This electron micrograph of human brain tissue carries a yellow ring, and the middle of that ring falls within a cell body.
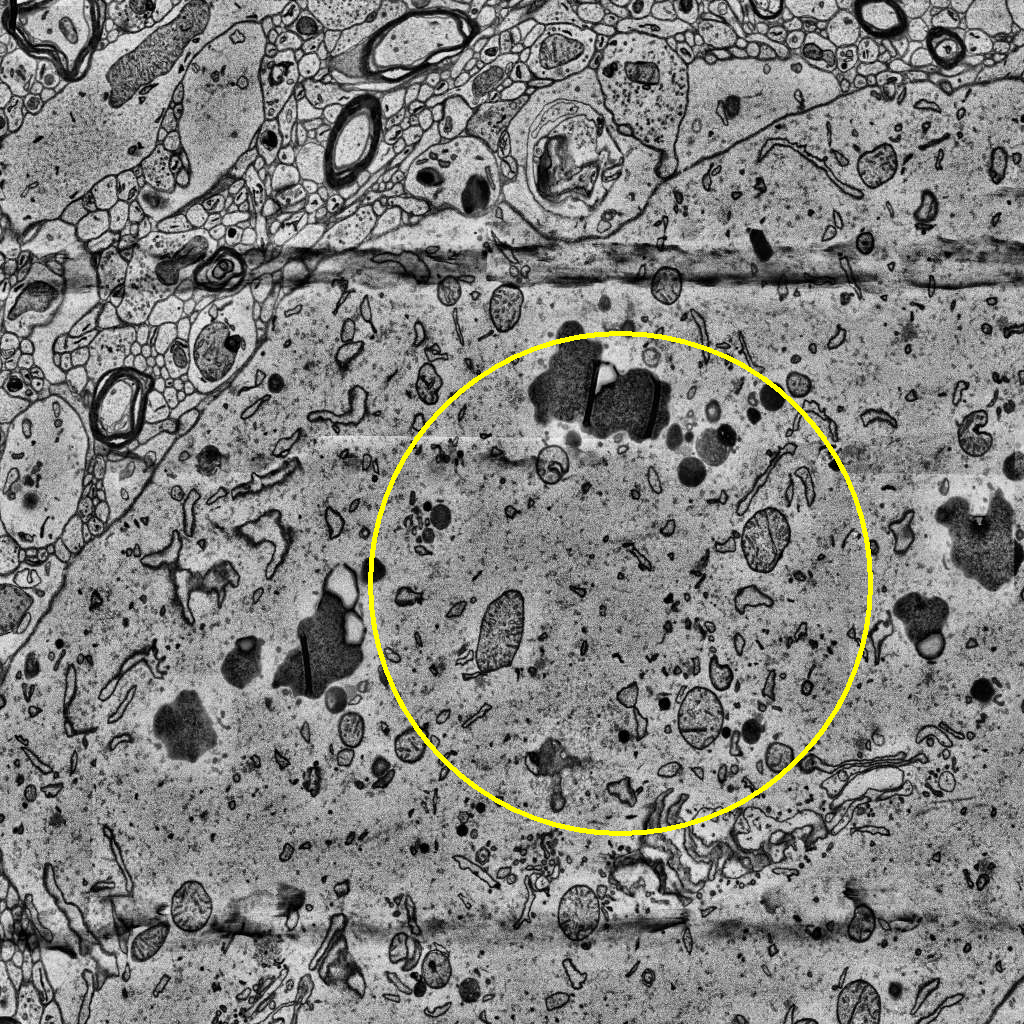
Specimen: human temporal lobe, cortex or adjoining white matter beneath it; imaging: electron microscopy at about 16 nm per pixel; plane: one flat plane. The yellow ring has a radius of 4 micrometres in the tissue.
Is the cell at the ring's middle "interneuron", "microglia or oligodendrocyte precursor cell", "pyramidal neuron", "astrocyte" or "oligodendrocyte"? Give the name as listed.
pyramidal neuron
